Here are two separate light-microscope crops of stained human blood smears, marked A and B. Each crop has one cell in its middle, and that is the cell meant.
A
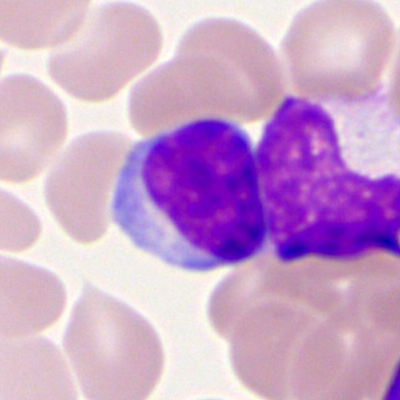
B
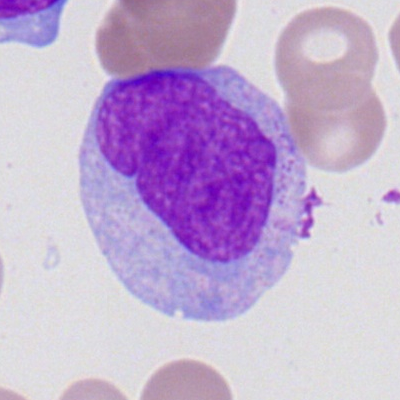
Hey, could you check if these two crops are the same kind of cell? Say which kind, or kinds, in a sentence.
No, crop A displays a lymphocyte and crop B displays a monocyte.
